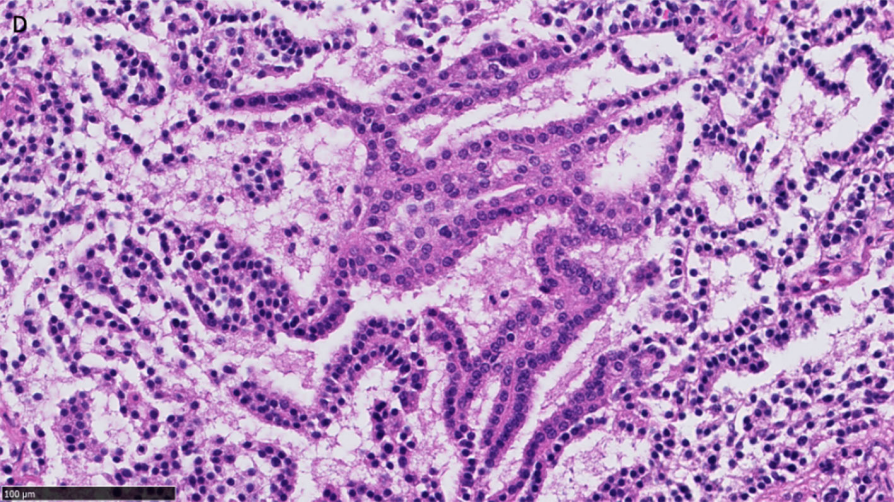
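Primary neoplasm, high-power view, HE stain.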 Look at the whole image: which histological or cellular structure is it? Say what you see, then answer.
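Single layer papillary formations. Branching fronds and tubules are lined by one row of cuboidal to columnar cells. Pale loose material lies between the lined fronds.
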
